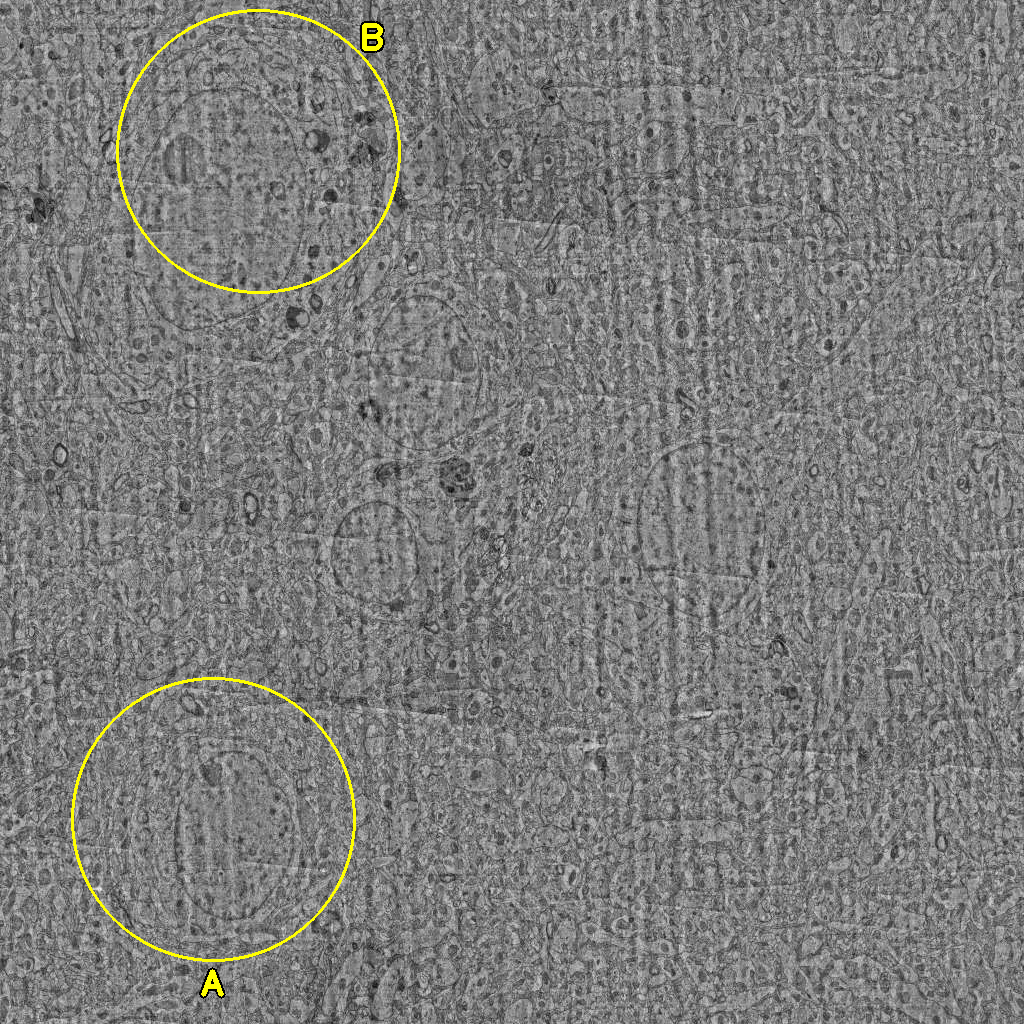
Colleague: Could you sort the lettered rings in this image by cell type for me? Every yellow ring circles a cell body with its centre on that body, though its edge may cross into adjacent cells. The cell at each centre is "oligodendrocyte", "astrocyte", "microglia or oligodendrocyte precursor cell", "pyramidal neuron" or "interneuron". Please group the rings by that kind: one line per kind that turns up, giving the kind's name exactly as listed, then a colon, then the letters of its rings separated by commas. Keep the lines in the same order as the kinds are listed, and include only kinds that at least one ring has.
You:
pyramidal neuron: A, B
